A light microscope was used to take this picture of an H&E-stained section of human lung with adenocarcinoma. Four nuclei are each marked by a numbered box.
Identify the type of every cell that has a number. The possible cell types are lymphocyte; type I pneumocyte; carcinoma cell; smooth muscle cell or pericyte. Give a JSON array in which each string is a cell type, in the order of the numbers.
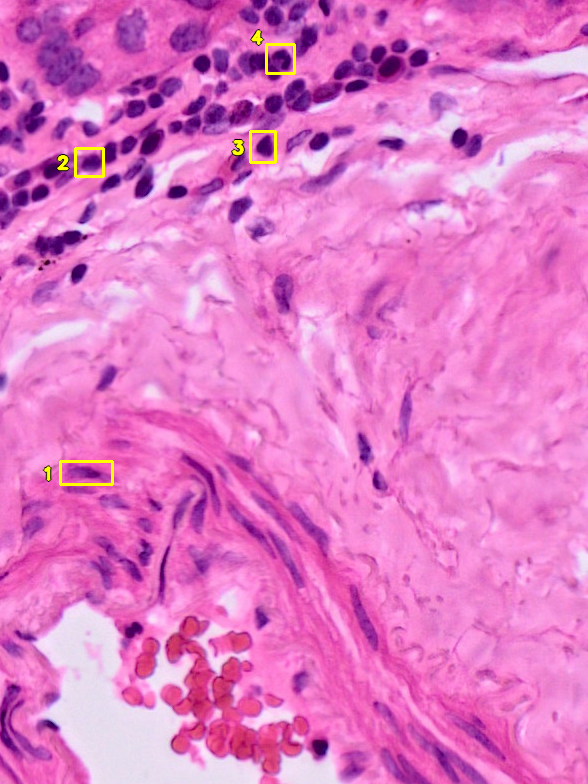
["smooth muscle cell or pericyte", "lymphocyte", "lymphocyte", "lymphocyte"]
